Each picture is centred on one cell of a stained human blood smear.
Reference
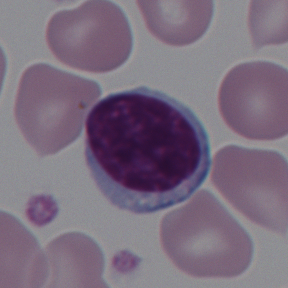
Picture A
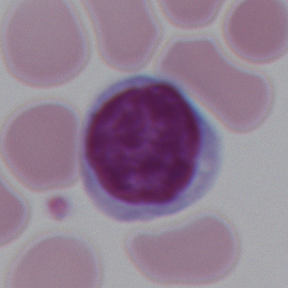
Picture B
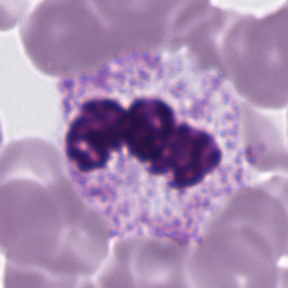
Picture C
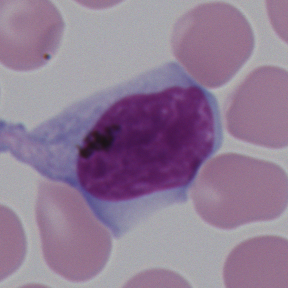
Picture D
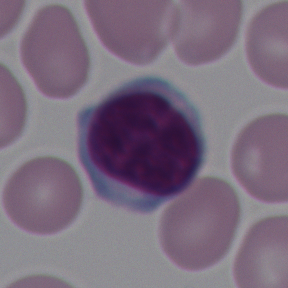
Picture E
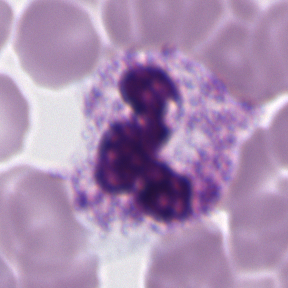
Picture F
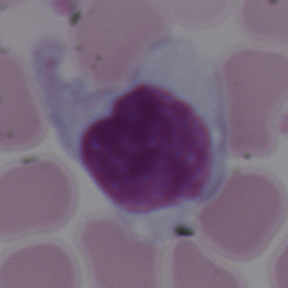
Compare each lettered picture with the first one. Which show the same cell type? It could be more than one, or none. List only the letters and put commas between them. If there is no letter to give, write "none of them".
A, C, D, F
